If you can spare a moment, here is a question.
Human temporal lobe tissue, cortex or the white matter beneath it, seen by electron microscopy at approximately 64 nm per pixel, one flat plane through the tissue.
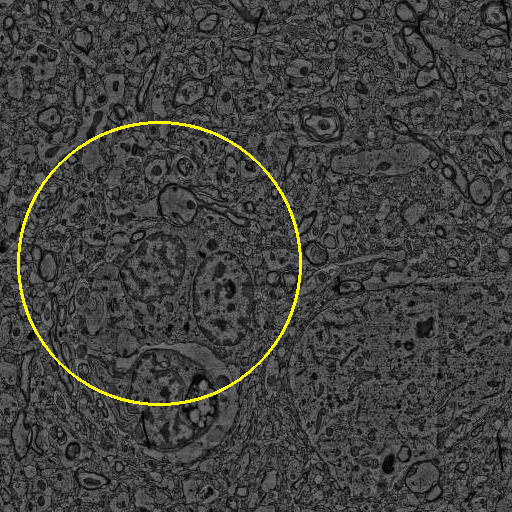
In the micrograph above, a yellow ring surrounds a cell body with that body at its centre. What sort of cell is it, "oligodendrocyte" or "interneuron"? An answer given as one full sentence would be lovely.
Centred inside the yellow ring, the cell body shown belongs to an oligodendrocyte in this micrograph.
